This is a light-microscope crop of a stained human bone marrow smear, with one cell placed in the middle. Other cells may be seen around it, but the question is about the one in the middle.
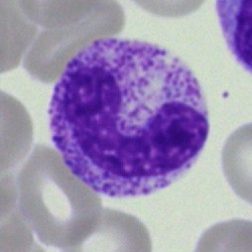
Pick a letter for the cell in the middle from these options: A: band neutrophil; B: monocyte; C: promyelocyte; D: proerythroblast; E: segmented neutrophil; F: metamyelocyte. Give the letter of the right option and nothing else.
A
